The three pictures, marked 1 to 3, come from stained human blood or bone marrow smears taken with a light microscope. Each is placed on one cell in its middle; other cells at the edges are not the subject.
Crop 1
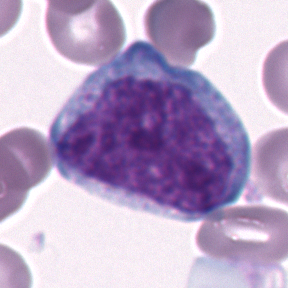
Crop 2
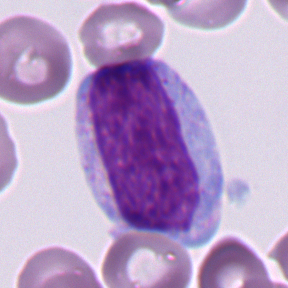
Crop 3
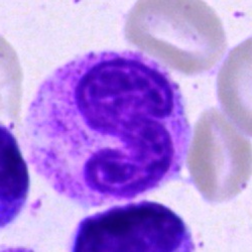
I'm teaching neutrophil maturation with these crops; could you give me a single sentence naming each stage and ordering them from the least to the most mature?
Sequenced by maturity from least to most, the crops are crop 1 (a promyelocyte), crop 2 (a myelocyte) and crop 3 (a band neutrophil).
